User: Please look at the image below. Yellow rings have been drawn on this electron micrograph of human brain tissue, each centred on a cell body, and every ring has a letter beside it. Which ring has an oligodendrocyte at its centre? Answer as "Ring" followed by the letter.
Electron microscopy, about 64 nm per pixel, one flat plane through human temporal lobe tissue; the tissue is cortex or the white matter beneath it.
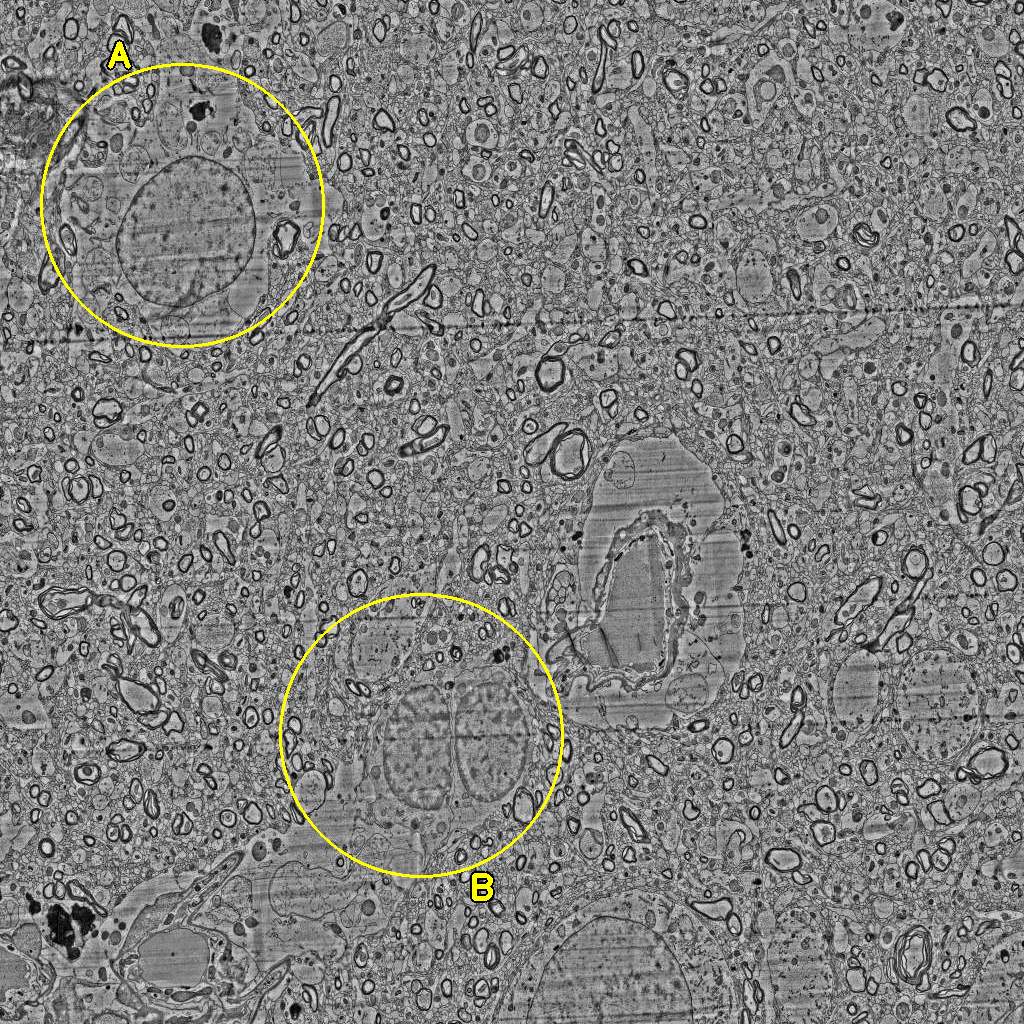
Ring B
